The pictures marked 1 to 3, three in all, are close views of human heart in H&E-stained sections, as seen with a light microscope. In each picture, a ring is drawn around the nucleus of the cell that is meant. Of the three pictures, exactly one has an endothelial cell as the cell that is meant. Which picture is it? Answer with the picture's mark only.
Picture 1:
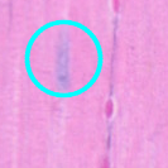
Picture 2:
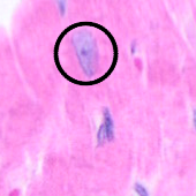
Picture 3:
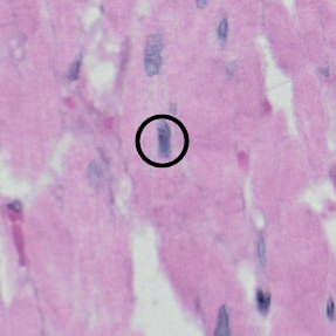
3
